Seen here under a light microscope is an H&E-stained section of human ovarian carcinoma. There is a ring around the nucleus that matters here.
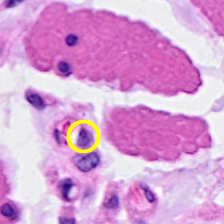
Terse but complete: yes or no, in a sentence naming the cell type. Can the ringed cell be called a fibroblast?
No, just to correct that, the ringed cell is an endothelial cell and not a fibroblast.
